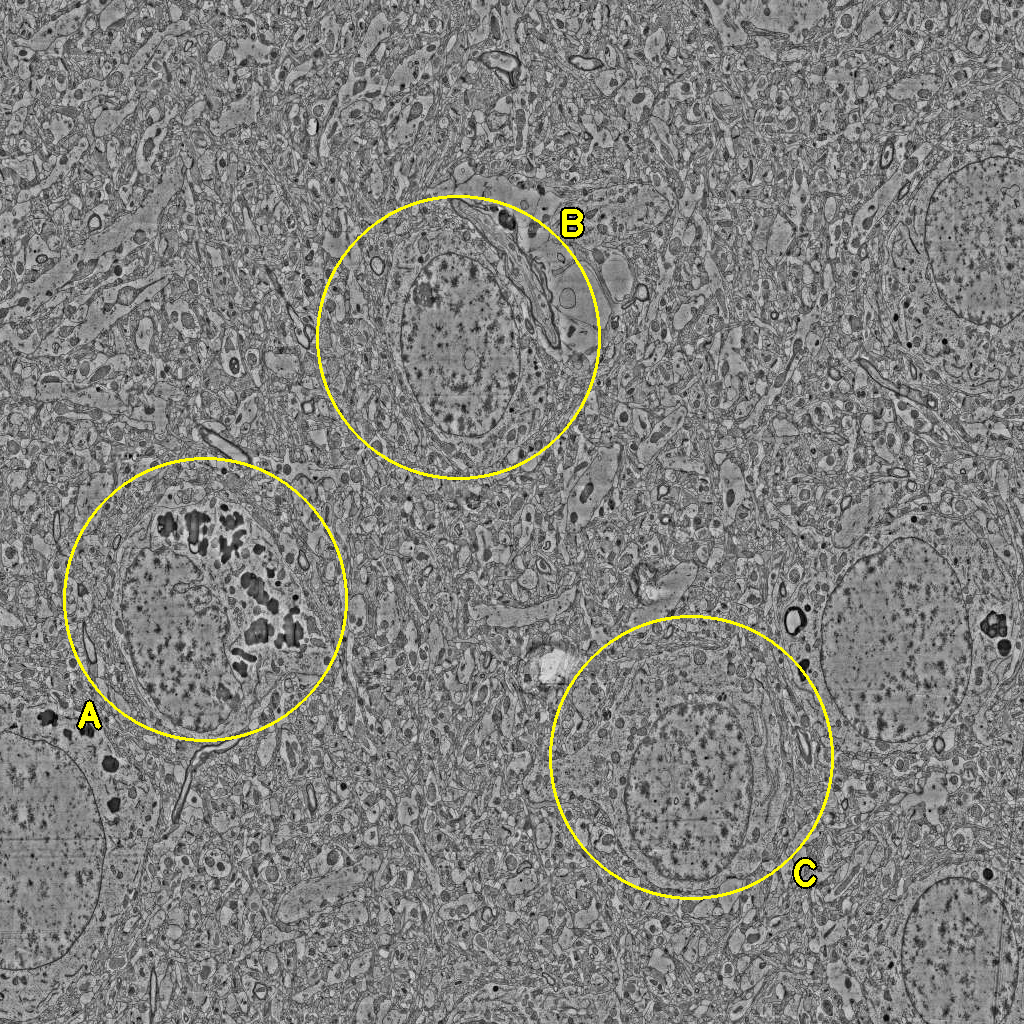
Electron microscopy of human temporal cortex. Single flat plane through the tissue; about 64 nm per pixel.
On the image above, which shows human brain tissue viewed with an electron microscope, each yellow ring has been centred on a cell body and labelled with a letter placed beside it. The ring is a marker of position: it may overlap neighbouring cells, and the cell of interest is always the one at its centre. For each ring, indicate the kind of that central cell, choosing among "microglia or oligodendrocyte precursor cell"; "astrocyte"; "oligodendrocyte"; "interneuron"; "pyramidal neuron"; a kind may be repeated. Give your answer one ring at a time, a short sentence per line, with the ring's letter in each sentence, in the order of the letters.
Ring A shows an interneuron at its centre.
Ring B shows a pyramidal neuron at its centre.
Ring C shows an interneuron at its centre.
